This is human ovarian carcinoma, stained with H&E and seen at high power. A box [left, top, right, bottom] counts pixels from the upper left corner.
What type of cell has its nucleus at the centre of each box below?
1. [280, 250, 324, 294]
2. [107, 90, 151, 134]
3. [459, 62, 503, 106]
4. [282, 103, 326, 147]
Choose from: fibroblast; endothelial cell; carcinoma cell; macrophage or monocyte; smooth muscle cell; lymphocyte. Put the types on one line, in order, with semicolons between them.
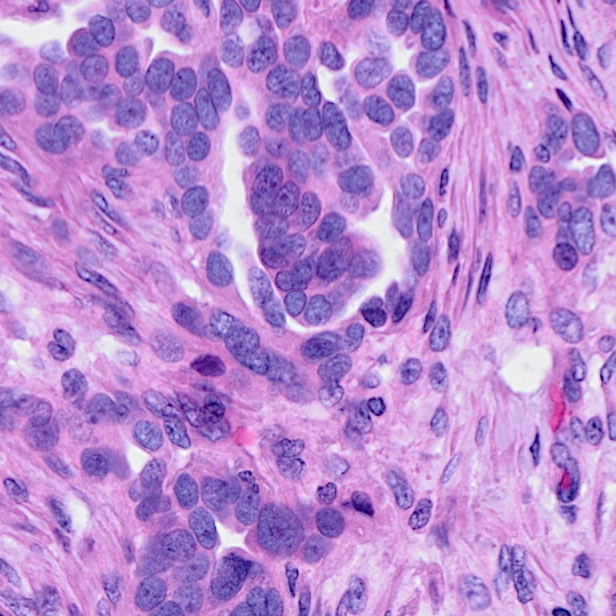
carcinoma cell; carcinoma cell; fibroblast; carcinoma cell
